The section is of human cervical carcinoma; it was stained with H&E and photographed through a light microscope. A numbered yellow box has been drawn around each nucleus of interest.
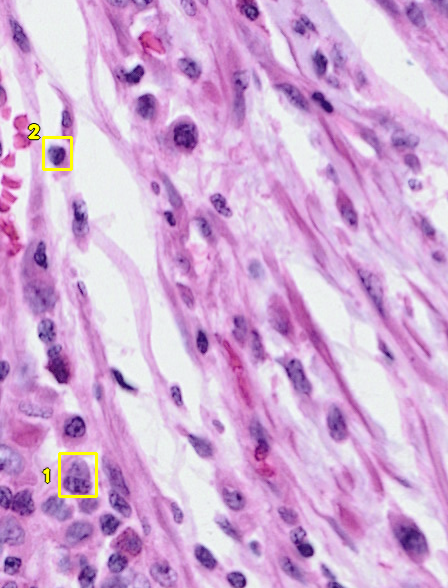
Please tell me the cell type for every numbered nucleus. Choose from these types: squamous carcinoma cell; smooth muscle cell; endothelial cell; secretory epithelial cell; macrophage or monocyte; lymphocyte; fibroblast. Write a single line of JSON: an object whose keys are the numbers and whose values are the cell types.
{"1": "macrophage or monocyte", "2": "lymphocyte"}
